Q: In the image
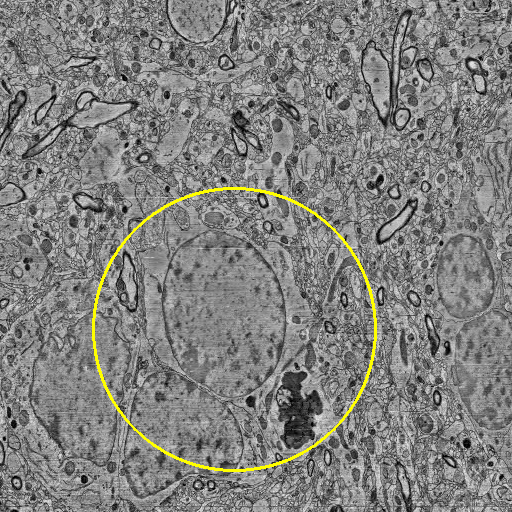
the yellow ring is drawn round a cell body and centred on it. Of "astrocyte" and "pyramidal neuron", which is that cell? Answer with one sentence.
The cell centred in the ring is an astrocyte.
